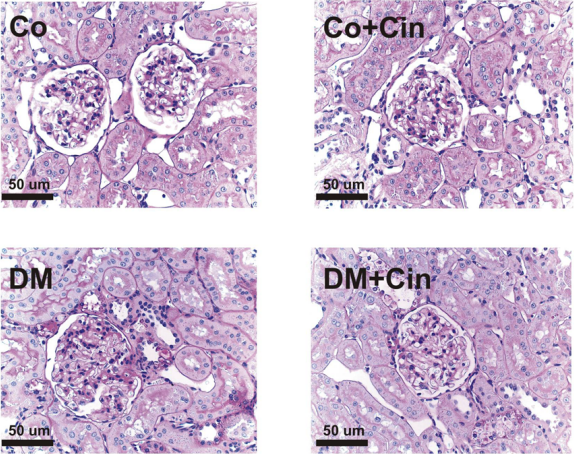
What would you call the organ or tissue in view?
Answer: kidneys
